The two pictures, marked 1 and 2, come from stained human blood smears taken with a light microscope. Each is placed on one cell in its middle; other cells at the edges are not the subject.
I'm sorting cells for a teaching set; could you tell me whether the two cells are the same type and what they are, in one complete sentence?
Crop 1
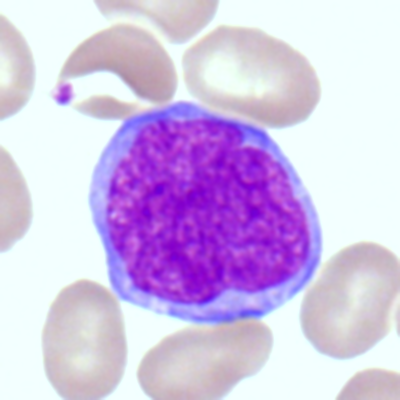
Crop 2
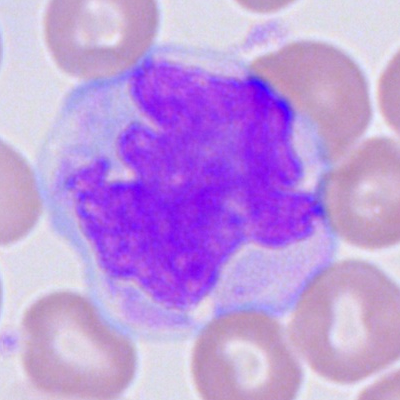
No, the cell that crop 1 shows is a blast, and the one crop 2 shows is a monocyte.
